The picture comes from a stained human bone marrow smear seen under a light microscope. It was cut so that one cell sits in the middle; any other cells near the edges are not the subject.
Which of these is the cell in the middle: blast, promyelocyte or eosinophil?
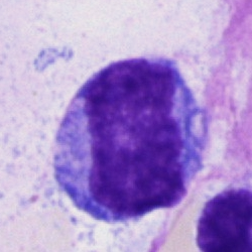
blast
